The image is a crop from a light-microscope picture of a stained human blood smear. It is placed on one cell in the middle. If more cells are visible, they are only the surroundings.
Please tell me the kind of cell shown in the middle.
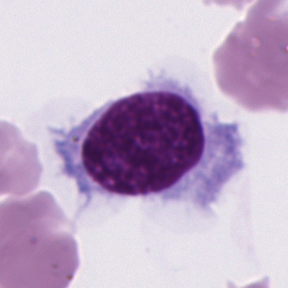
hairy cell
